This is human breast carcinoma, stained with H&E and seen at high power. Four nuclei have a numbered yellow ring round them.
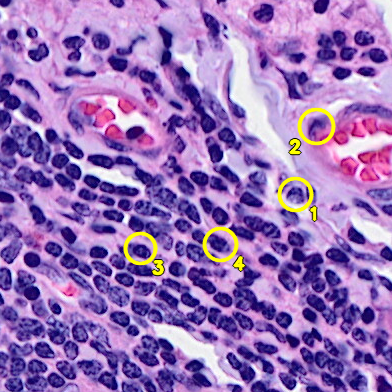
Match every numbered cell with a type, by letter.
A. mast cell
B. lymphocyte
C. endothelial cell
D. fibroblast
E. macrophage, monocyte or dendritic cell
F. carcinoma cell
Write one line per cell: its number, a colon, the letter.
1: B
2: C
3: B
4: B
